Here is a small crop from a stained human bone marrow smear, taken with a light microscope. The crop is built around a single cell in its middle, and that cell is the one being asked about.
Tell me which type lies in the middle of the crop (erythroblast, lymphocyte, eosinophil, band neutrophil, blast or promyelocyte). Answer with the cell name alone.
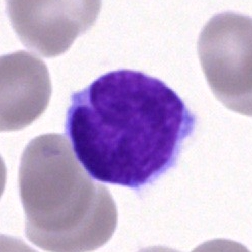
lymphocyte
